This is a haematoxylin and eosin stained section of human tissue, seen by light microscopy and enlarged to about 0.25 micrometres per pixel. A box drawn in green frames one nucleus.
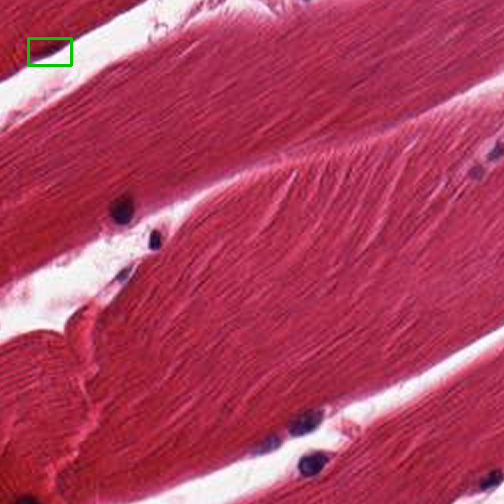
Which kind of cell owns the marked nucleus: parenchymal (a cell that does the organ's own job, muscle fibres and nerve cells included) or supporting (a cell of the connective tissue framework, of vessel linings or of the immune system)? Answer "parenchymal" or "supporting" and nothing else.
parenchymal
